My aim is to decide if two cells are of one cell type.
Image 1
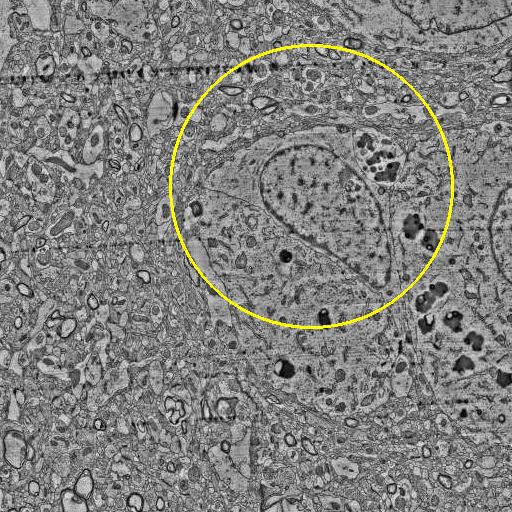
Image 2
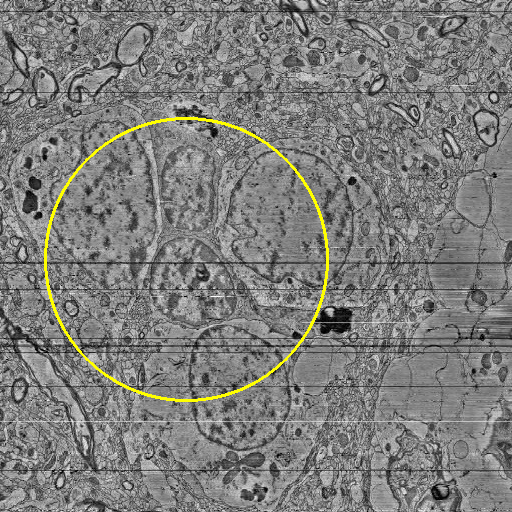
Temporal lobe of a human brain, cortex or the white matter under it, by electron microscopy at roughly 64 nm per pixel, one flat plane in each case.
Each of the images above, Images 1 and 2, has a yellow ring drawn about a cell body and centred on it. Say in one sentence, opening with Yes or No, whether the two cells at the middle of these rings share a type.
No, in Images 1 and 2 the cells at the middle of the rings fall into two types.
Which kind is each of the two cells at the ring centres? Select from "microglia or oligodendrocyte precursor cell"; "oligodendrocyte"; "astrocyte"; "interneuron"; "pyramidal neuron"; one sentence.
The cell at the centre of the ring is a microglial cell or oligodendrocyte precursor cell in the first picture and an oligodendrocyte in the second.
